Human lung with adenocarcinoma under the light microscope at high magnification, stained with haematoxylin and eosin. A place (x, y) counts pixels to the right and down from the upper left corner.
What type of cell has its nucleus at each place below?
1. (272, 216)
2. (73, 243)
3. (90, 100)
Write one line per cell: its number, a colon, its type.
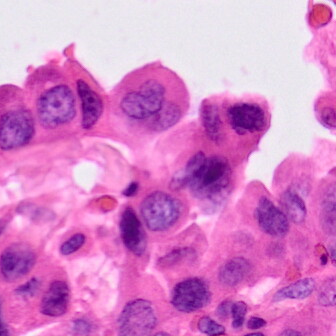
1: carcinoma cell
2: mast cell
3: carcinoma cell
